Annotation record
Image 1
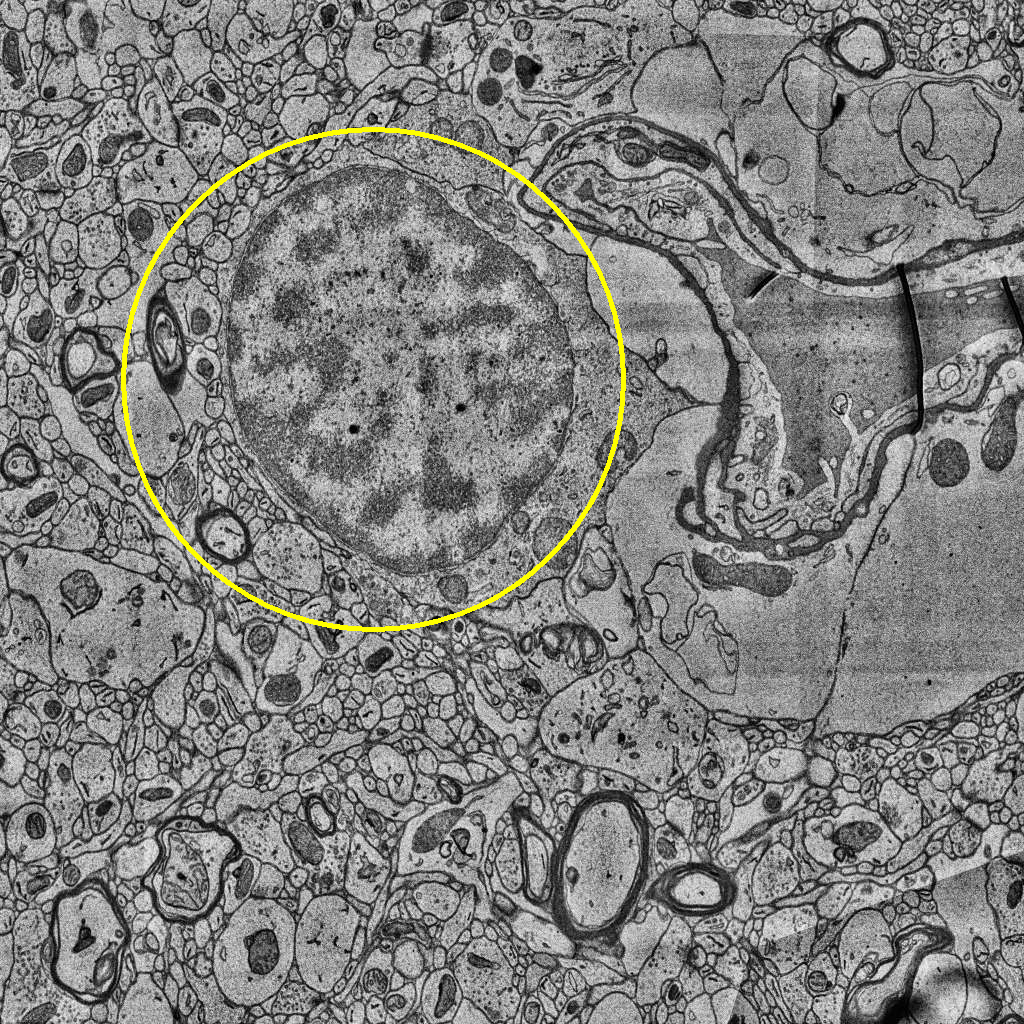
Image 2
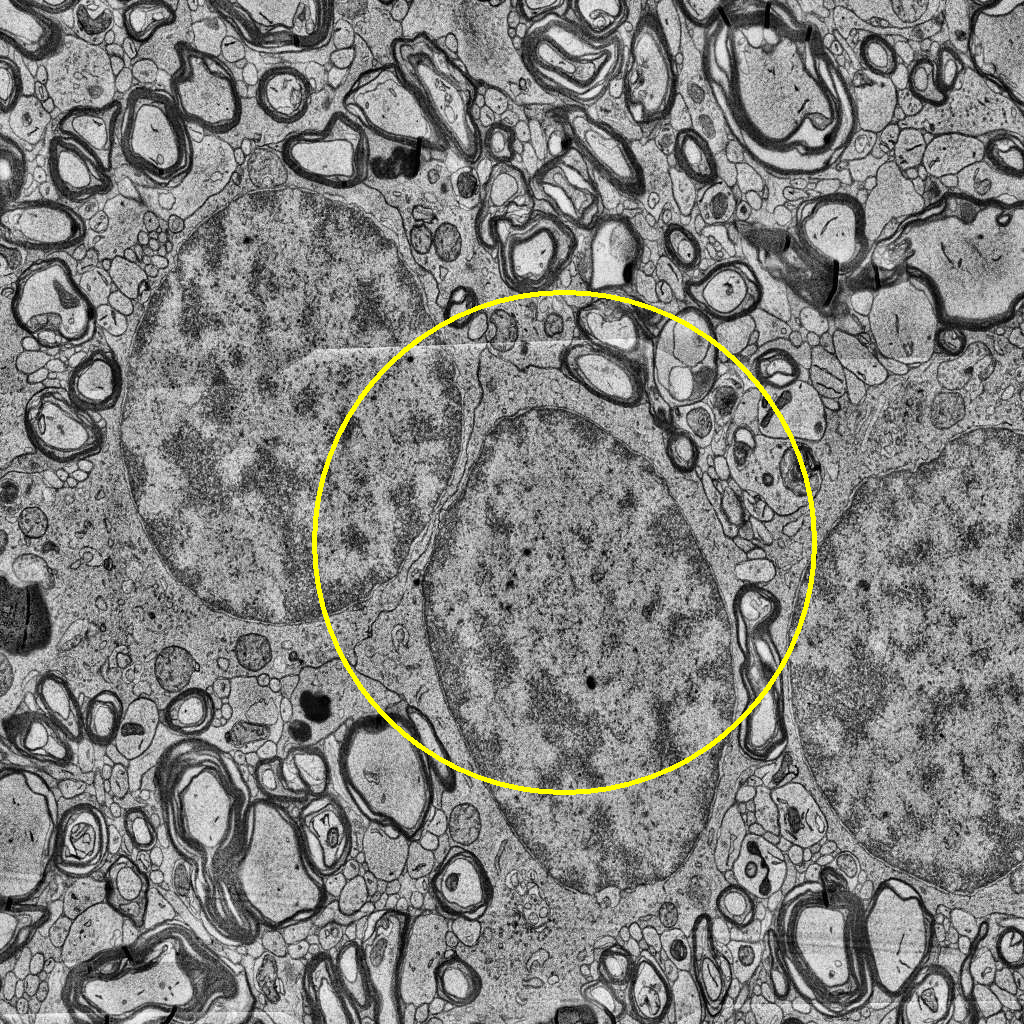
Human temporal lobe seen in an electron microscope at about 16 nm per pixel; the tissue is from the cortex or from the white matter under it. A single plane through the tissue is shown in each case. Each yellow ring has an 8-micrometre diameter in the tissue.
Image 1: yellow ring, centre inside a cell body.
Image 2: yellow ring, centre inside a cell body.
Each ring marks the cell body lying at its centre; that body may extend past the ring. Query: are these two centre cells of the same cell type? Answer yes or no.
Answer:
yes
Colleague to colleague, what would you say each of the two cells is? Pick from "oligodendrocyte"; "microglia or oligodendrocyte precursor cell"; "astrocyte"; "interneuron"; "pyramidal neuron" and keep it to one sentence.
Each cell at the centre of a ring is an oligodendrocyte.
